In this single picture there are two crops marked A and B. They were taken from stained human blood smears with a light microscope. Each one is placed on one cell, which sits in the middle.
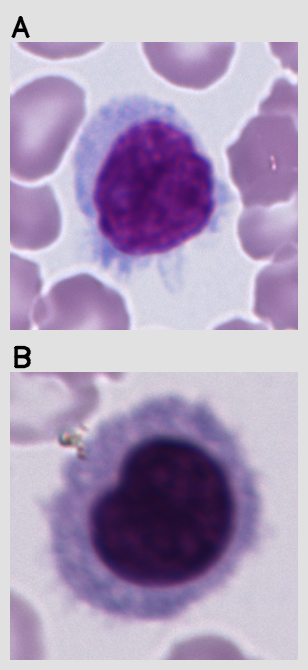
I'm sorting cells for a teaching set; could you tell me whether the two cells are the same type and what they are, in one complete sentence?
Yes, hairy cells are the cells shown in both crops.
